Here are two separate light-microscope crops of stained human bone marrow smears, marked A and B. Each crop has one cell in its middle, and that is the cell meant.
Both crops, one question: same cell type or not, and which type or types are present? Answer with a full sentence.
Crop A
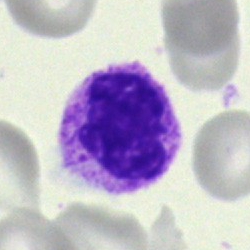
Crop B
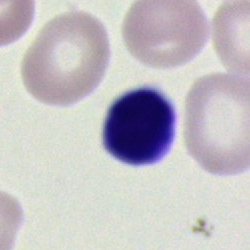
No, crop A features a basophil, while crop B features a lymphocyte.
